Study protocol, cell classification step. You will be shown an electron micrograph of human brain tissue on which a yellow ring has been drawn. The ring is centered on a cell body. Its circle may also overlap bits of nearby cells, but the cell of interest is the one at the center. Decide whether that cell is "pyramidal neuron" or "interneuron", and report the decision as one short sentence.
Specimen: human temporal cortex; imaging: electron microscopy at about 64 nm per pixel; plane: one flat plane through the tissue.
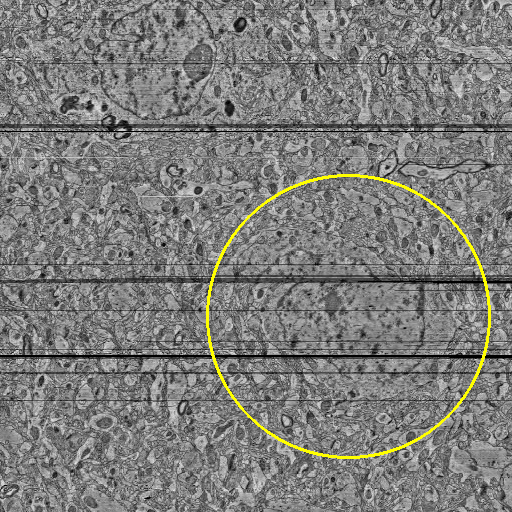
The marked cell is an interneuron.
